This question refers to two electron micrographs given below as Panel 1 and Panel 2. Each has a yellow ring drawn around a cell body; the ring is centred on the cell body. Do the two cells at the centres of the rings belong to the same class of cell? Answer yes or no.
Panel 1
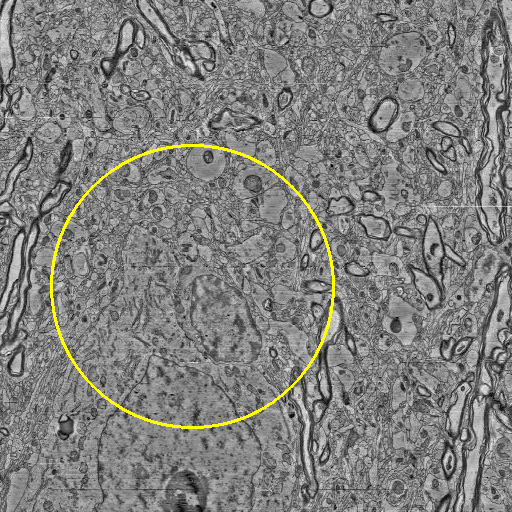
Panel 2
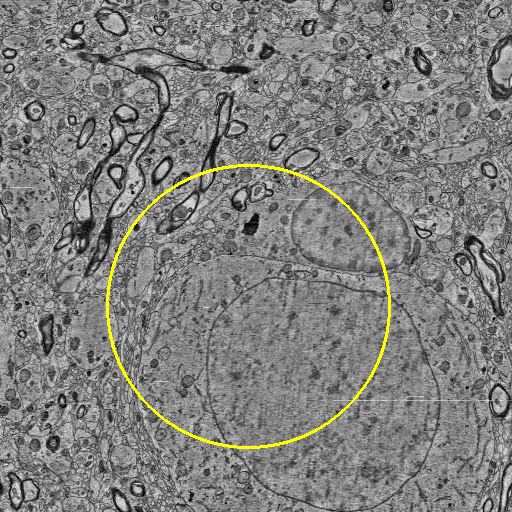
no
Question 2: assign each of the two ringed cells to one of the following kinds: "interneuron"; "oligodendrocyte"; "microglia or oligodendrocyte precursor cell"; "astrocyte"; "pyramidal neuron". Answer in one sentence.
The two cells are an oligodendrocyte in the first picture and a pyramidal neuron in the second.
